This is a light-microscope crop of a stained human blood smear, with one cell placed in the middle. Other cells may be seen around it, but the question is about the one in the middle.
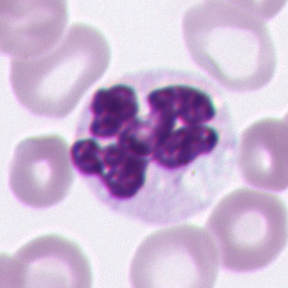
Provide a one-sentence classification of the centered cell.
The cell of interest, in the center, is a segmented neutrophil.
